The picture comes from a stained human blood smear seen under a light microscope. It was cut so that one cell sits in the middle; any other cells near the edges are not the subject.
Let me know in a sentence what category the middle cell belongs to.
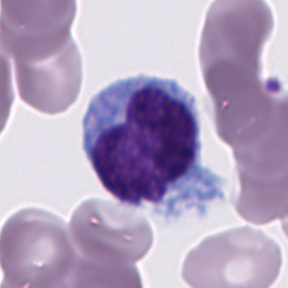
Here the centrally located cell is a monocyte.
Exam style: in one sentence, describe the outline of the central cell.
Its surface contour departs from smoothness through ragged edges or outward projections.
